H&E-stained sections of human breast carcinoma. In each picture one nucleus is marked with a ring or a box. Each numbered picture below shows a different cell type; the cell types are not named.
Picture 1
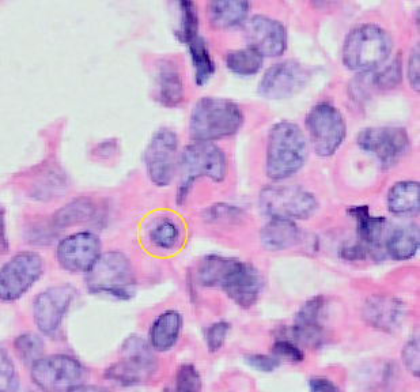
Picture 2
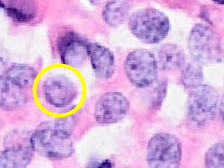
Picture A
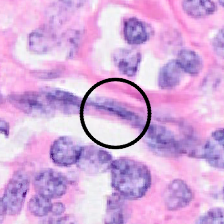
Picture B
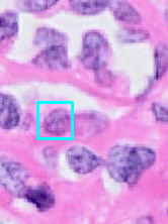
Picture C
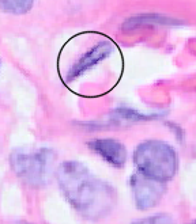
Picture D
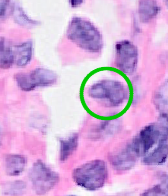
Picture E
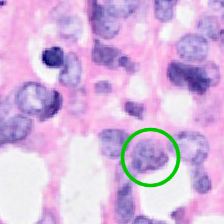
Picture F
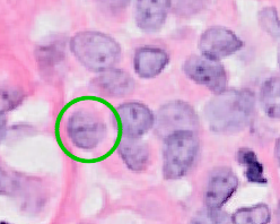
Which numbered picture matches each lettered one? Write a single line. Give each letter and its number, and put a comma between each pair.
A 1, B 2, C 1, D 2, E 2, F 2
